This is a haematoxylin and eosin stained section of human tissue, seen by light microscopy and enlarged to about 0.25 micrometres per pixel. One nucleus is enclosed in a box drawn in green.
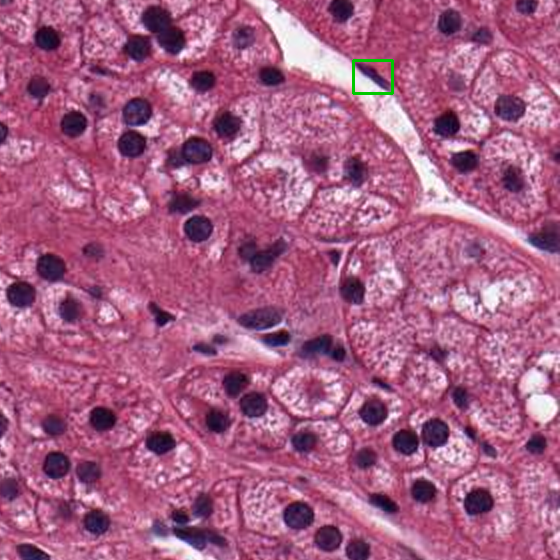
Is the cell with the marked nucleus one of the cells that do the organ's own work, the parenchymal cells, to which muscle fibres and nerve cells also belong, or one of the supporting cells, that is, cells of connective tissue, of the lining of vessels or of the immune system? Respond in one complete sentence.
The marked nucleus belongs to a cell, and that cell is a supporting cell.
